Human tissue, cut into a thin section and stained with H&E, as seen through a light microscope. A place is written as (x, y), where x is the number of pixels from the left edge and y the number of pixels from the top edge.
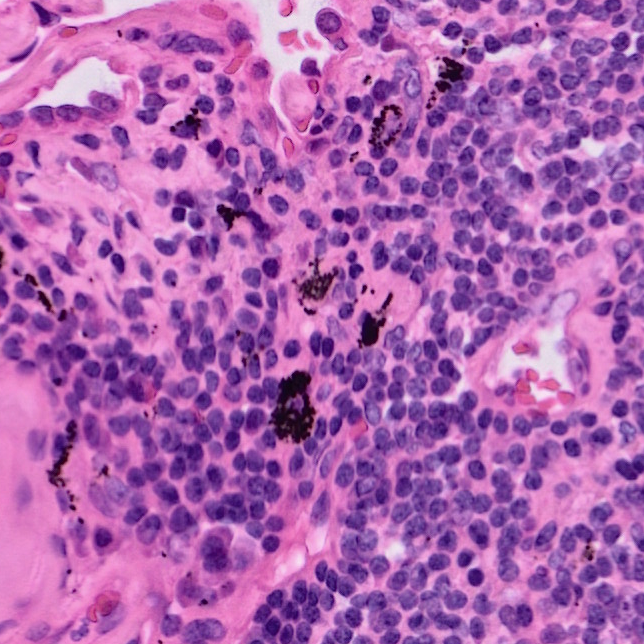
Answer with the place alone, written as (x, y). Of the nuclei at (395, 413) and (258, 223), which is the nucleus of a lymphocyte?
(395, 413)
